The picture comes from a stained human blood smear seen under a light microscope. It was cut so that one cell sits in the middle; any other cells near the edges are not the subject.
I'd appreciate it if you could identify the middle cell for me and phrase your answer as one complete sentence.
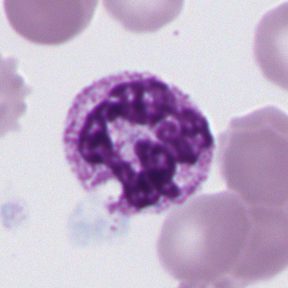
The cell in the exact centre of the crop is a segmented neutrophil.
